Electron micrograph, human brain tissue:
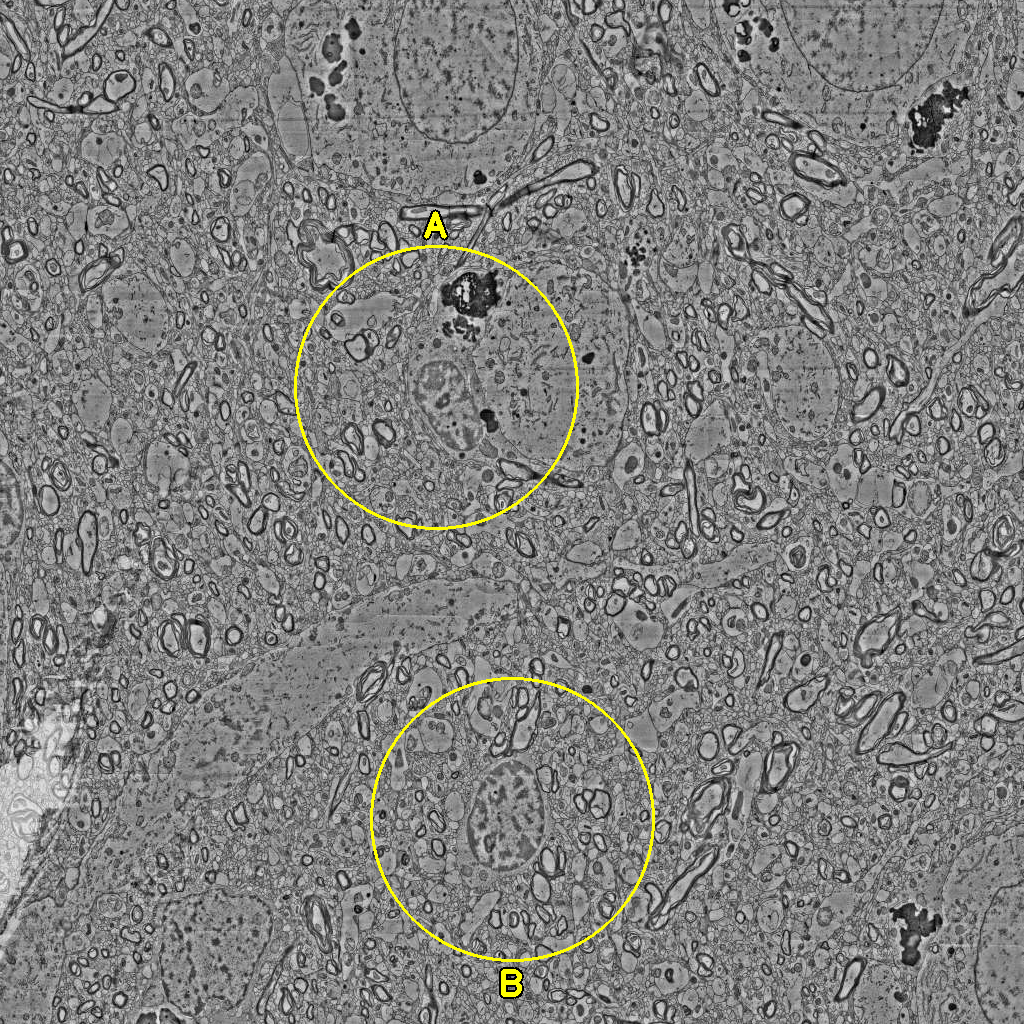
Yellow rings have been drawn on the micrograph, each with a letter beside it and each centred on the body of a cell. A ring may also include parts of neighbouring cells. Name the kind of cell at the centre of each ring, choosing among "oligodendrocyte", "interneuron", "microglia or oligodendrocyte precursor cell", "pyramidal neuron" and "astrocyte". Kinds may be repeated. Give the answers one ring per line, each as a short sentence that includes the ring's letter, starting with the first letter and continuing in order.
Ring A is placed on an oligodendrocyte.
Ring B is placed on an oligodendrocyte.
